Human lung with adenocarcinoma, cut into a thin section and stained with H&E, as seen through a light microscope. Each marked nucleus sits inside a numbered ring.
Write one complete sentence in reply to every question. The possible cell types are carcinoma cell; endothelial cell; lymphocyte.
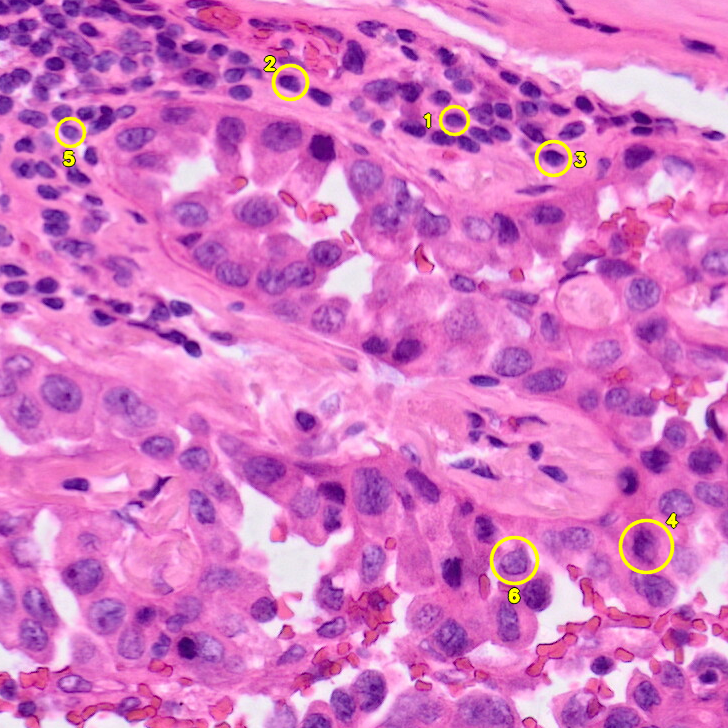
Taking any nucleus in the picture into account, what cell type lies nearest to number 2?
Number 2 lies closest to the nucleus of an endothelial cell.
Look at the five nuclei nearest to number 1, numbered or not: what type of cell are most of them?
Lymphocytes account for more than half of the five nuclei nearest to number 1.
